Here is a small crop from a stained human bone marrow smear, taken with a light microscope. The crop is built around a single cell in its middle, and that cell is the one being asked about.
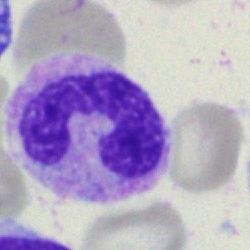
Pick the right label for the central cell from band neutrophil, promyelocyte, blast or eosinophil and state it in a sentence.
Centrally within this crop lies a band neutrophil.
